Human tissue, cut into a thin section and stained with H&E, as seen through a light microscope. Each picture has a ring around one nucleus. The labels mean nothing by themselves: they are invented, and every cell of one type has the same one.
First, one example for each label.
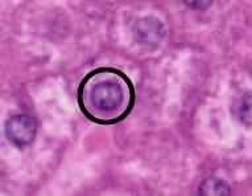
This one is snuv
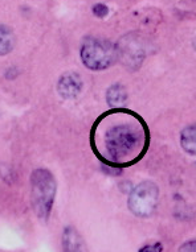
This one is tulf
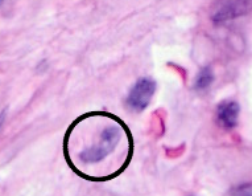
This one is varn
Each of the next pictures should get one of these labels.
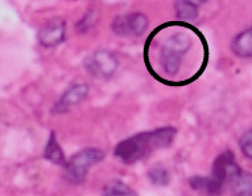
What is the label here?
varn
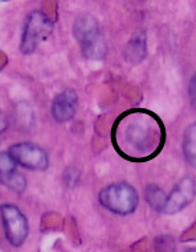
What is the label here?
varn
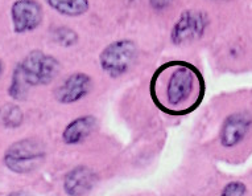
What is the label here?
tulf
